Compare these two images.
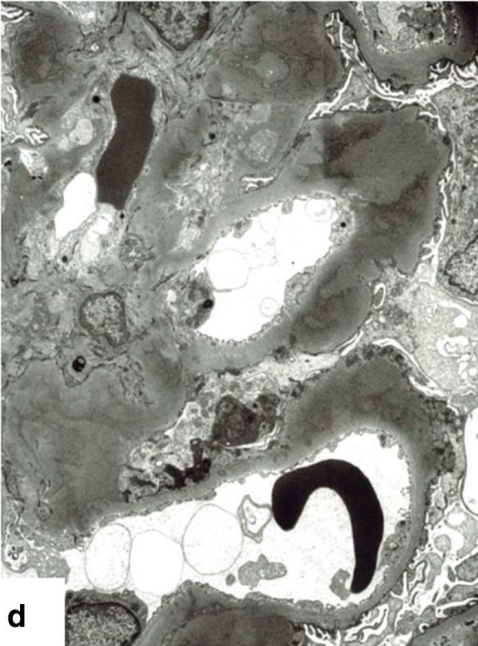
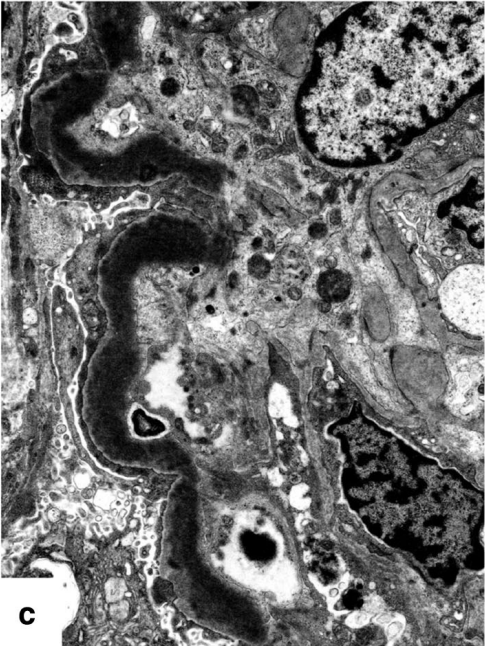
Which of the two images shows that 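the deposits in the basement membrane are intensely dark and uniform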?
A: the second image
